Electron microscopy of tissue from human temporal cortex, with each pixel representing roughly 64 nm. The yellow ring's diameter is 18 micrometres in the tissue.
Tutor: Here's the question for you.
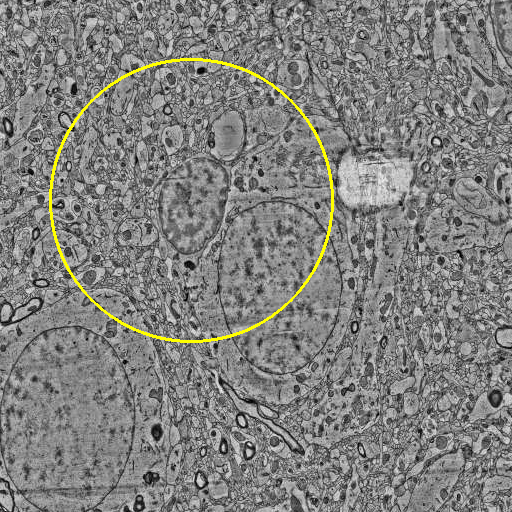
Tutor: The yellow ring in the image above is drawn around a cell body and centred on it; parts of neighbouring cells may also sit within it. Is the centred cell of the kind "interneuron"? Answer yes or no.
no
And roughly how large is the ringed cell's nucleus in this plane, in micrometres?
About 6 by 4 micrometers, in this plane.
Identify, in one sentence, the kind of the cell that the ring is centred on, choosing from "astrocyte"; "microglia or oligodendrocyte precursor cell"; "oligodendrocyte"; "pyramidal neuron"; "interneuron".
The cell at the ring centre is an oligodendrocyte.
